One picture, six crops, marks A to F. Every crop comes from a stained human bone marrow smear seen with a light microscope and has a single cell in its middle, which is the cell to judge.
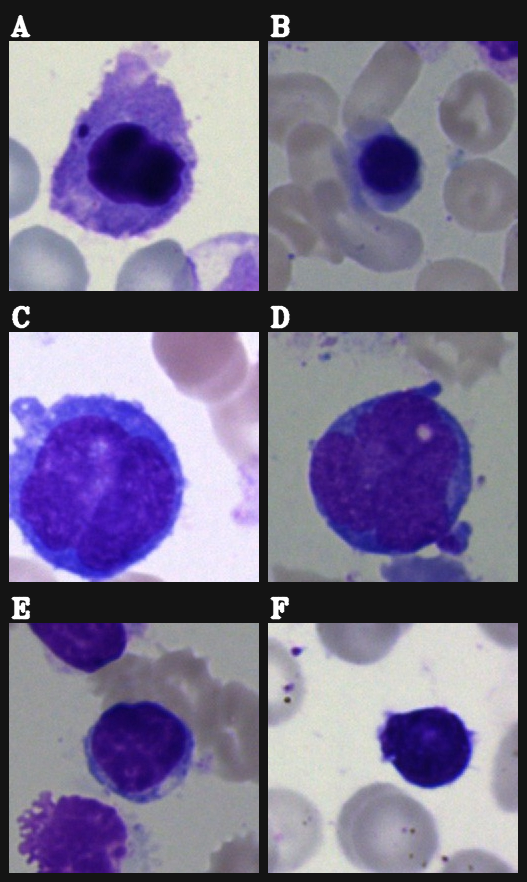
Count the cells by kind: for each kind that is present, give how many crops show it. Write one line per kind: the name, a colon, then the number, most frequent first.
blast: 3
normoblast: 2
lymphocyte: 1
